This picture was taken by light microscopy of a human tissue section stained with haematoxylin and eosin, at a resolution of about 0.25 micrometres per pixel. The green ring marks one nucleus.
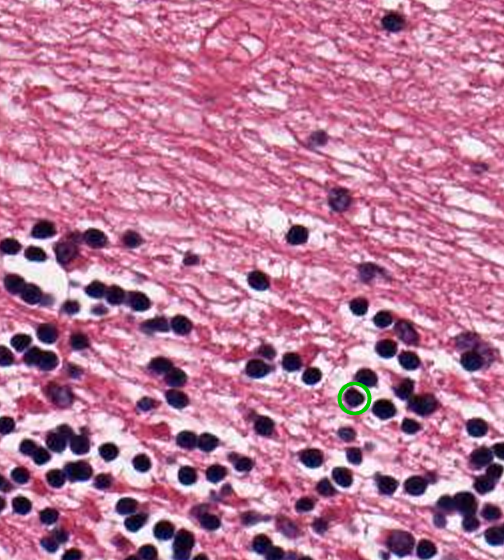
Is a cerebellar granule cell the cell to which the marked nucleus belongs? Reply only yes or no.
yes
